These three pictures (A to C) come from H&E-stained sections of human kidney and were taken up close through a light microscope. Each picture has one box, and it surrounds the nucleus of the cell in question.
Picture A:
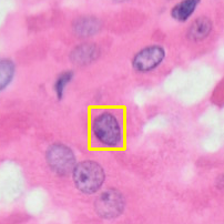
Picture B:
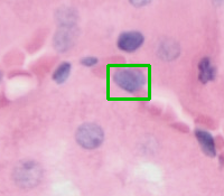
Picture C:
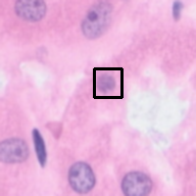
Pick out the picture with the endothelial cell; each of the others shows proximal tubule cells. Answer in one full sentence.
It is picture B that shows the endothelial cell.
